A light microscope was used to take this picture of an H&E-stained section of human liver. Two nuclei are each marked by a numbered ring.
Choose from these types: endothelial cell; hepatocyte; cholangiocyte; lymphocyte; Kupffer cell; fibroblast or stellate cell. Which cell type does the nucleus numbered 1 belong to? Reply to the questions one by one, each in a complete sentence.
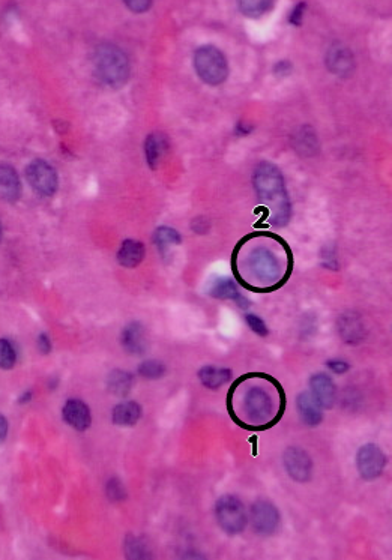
Of the numbered cells, the one labelled 1 is a hepatocyte.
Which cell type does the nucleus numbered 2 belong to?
It is as a cholangiocyte that the cell numbered 2 is identified.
